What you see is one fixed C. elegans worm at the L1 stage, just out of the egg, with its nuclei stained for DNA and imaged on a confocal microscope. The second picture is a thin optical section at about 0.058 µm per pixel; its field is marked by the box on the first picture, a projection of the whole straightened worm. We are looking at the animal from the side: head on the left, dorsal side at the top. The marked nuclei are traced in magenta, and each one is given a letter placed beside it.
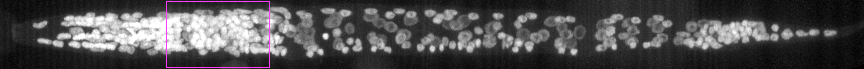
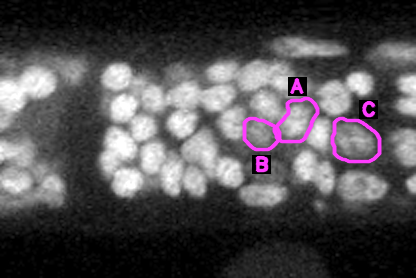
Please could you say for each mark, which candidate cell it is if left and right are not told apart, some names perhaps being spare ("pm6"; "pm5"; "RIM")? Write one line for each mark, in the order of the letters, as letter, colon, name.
A: pm5
B: RIM
C: pm6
